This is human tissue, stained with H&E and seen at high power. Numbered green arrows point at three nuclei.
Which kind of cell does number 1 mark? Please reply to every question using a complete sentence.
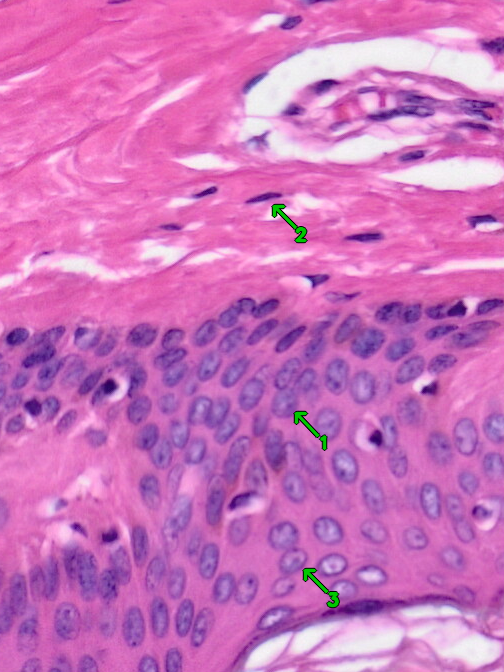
The mark numbered 1 indicates the nucleus of a suprabasal keratinocyte.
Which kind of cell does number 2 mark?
Cell 2 of the marked set is a fibroblast.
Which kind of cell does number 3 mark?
Identified as a suprabasal keratinocyte is the cell bearing the number 3.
